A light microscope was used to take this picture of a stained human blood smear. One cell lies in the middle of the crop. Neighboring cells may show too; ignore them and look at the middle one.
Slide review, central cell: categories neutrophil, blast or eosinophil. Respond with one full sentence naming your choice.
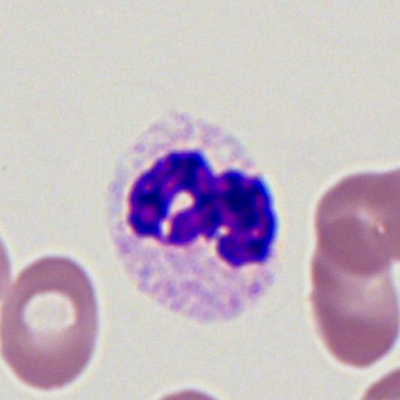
The cell positioned in the middle of the field is a neutrophil.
